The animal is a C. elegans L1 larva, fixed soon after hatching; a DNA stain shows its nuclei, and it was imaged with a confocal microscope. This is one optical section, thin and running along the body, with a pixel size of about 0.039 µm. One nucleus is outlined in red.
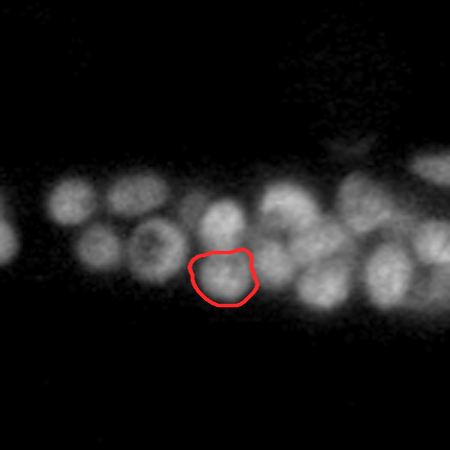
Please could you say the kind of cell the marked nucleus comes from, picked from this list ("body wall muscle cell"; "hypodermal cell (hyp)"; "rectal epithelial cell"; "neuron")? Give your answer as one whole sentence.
The marked cell is a body wall muscle cell.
